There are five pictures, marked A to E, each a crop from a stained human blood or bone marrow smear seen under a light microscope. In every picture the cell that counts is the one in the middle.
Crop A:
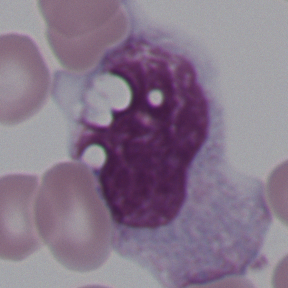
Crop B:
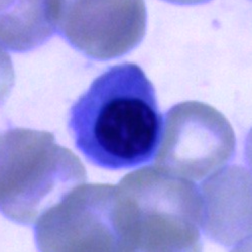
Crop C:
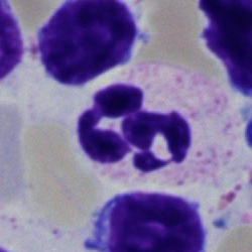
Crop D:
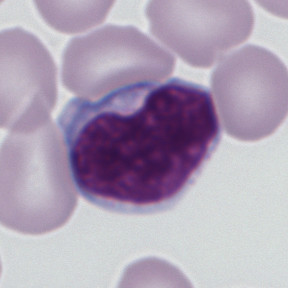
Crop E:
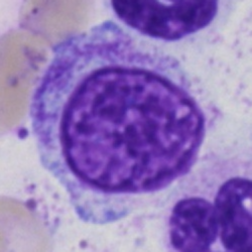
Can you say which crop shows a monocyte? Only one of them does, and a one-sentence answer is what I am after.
So the crop with a monocyte at its center is crop A.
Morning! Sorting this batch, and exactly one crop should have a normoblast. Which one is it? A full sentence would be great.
Selected crop: B, which is the one that shows a normoblast.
